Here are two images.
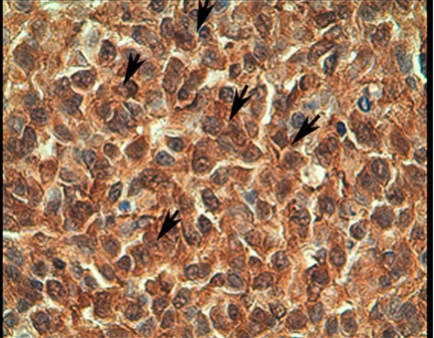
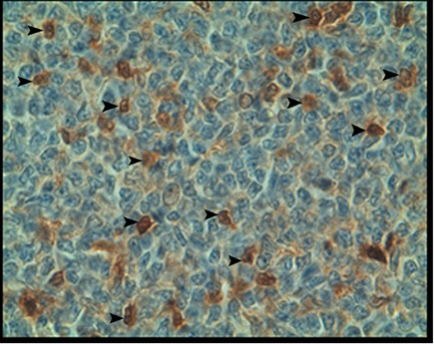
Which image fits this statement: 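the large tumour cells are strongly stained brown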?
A: the first image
